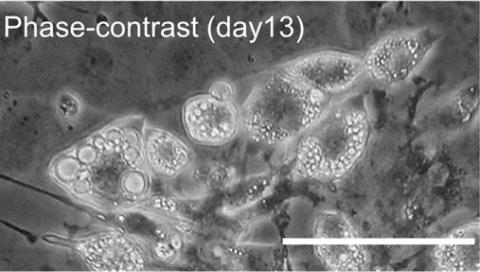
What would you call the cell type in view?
Adipocyte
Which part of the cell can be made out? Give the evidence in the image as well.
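Numerous small bright round bodies fill the rounded cells. A few larger round droplets lie among the smaller ones.
Conclusion: lipid‐like droplets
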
